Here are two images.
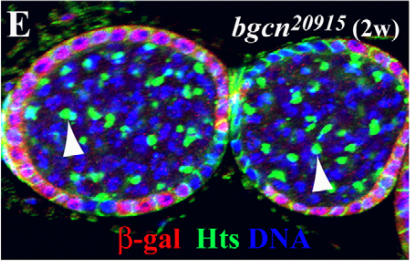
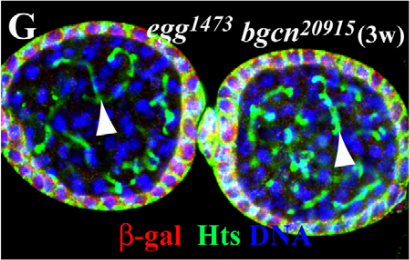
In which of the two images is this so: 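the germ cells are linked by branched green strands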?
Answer: the second image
